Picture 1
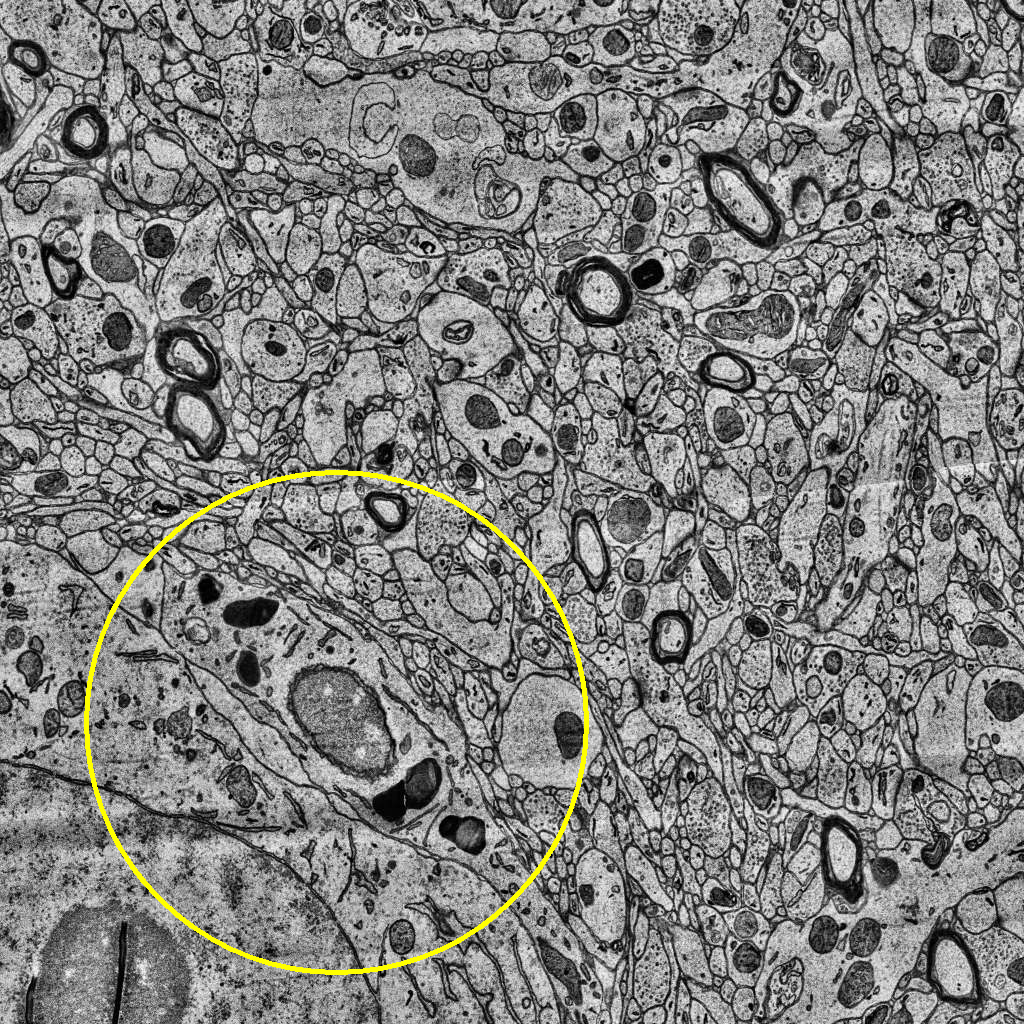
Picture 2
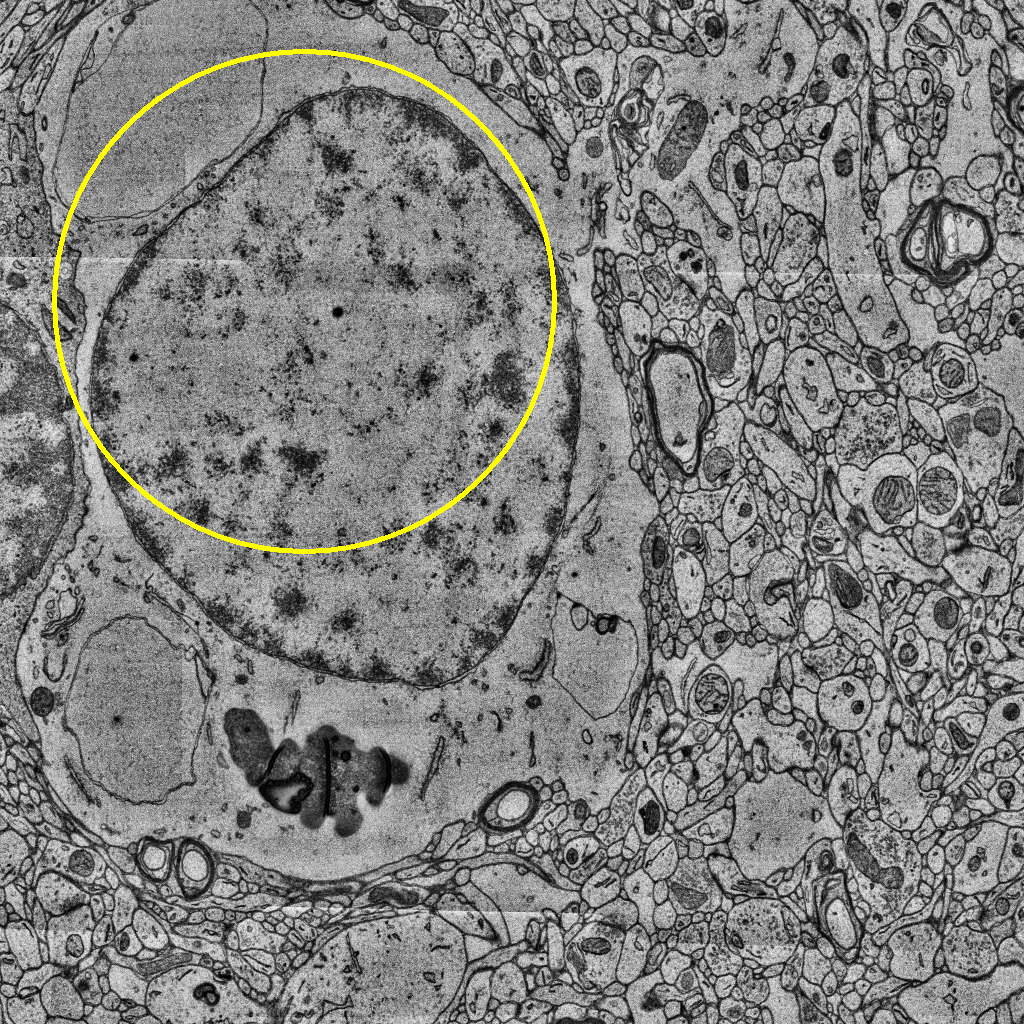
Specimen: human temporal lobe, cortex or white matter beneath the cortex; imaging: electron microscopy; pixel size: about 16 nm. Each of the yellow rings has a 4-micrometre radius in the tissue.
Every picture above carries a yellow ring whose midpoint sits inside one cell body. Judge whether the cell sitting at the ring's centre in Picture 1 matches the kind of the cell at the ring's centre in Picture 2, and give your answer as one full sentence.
No, the cells at the centres of the rings in Pictures 1 and 2 belong to two kinds.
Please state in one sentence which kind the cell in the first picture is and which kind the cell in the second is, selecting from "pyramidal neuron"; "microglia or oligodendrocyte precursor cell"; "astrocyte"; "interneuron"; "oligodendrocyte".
The first ring marks a microglial cell or oligodendrocyte precursor cell, and the second ring marks an astrocyte.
